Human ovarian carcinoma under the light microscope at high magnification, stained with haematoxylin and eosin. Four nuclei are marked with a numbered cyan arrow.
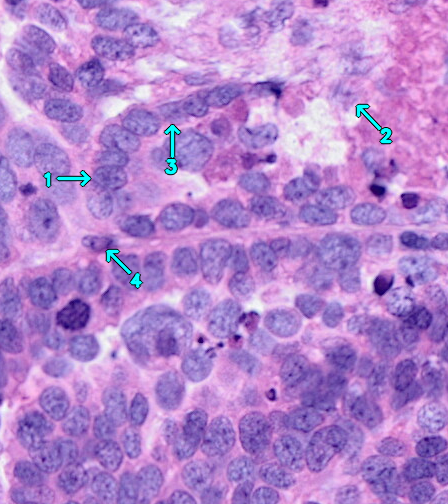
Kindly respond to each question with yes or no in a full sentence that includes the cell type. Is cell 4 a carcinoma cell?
No, the cell carrying number 4 is a macrophage or monocyte rather than a carcinoma cell.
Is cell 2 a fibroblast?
Yes, number 2 corresponds to a fibroblast.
